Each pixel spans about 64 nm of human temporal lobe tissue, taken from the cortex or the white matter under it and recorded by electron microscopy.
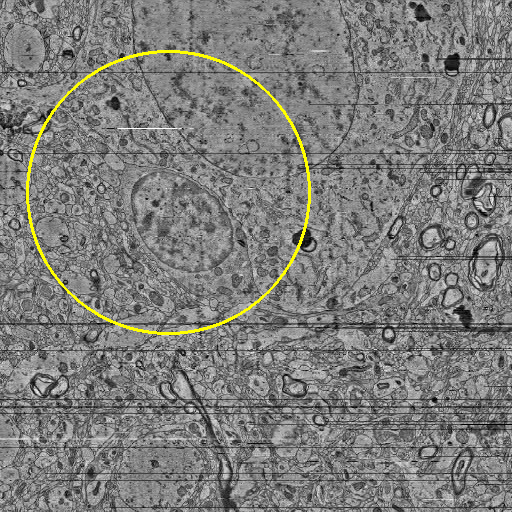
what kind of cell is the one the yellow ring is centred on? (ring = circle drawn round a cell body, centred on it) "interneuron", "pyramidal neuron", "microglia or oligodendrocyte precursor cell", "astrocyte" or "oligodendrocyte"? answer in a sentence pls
The ring is drawn around an oligodendrocyte.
